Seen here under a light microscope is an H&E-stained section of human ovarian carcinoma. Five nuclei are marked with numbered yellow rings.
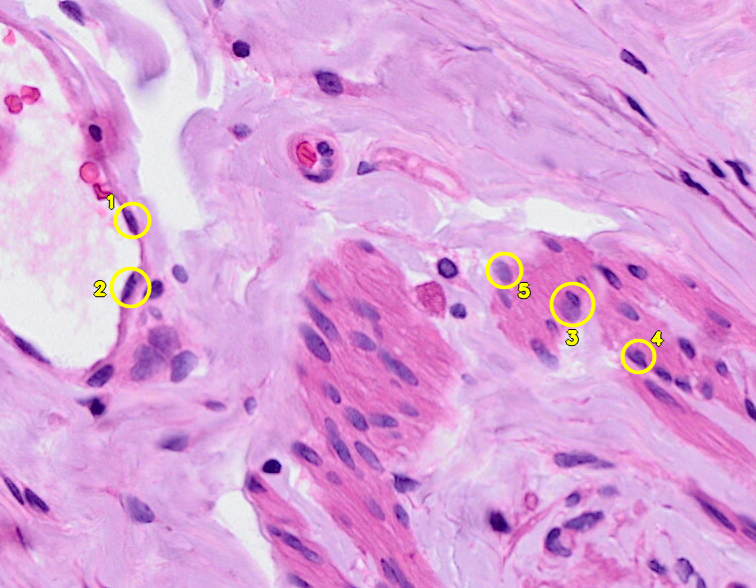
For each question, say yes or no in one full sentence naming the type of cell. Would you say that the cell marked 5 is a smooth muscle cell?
Yes, the one with the number 5 is a smooth muscle cell.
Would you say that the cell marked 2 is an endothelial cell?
Yes, the marked cell number 2 is an endothelial cell.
